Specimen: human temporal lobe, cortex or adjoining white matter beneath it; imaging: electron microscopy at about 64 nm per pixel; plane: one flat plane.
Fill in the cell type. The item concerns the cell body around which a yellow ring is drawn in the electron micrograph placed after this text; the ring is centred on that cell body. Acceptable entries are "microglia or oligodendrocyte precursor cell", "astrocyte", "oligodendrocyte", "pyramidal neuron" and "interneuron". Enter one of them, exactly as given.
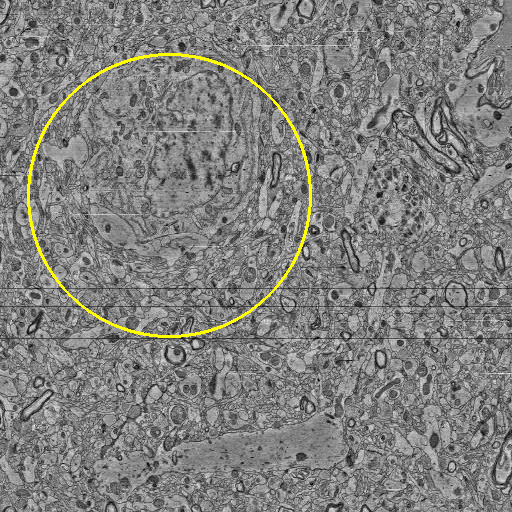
interneuron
